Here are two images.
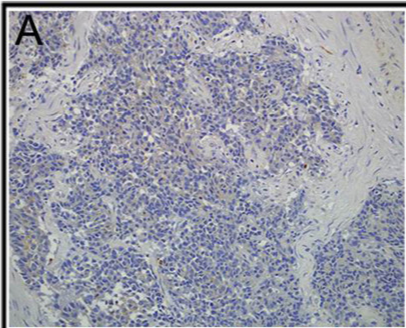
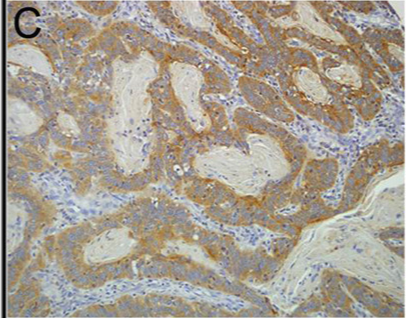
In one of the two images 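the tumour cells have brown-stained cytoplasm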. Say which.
The second image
